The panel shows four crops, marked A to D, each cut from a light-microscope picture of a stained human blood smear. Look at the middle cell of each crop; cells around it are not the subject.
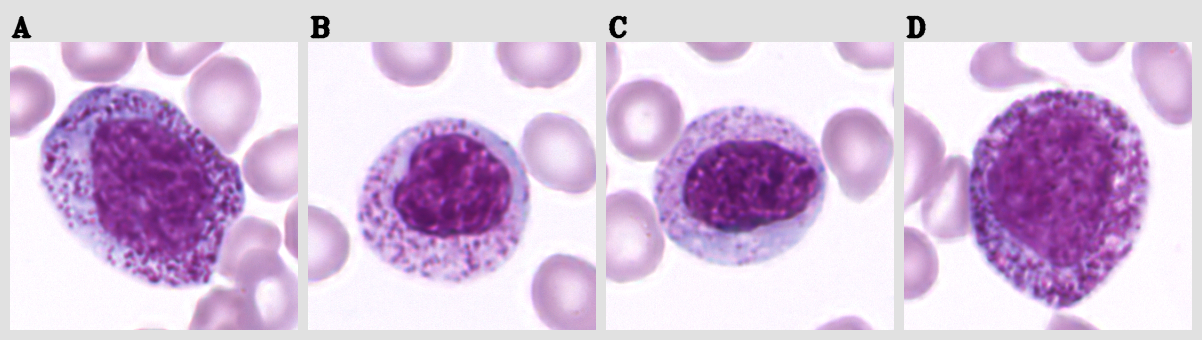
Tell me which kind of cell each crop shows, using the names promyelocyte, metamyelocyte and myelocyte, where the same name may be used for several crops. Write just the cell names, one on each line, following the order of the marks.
promyelocyte
myelocyte
metamyelocyte
promyelocyte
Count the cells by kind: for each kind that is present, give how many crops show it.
promyelocyte: 2
myelocyte: 1
metamyelocyte: 1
